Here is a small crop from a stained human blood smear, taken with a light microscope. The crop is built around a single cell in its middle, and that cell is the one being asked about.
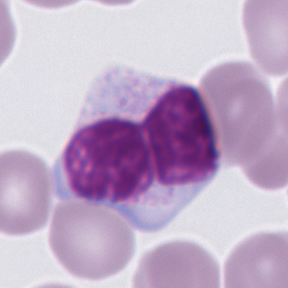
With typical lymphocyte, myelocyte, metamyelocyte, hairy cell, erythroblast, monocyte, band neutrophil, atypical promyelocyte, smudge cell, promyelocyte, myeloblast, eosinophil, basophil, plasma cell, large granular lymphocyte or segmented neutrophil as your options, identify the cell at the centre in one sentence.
The center cell of this crop is a large granular lymphocyte.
